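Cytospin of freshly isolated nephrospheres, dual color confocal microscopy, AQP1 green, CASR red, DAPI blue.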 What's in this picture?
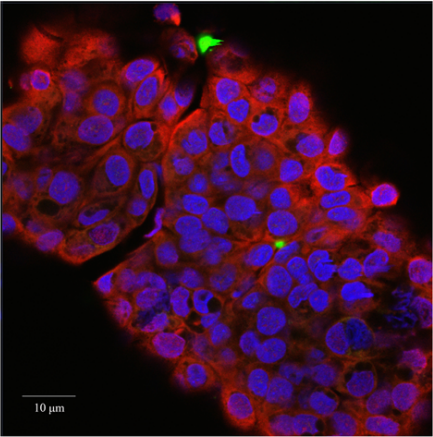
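Cells are polygonal to rounded and tightly packed, each outlined by red staining of the cytoplasm that is brightest at the cell borders and around the nuclei. Green is nearly absent over the cells; only two small, very bright green spots lie within the cluster, one at its upper edge. A narrow dark crack runs diagonally through the upper part of the cluster, splitting it into two sheets.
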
